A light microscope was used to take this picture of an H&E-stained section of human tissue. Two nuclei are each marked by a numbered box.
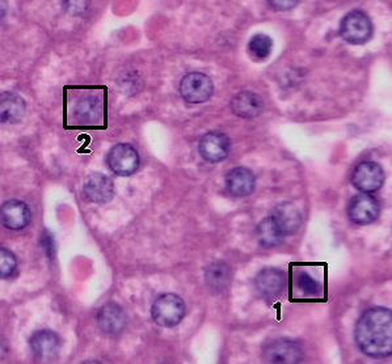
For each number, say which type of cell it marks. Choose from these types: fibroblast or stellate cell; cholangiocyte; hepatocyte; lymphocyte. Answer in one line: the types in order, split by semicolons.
fibroblast or stellate cell; hepatocyte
